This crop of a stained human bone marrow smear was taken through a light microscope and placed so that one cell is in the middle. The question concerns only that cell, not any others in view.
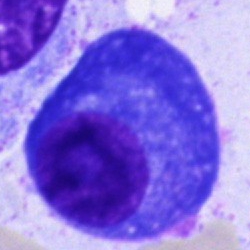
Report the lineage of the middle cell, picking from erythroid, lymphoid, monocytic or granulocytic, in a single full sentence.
For the cell at the center, the lineage is lymphoid.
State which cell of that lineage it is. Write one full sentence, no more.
Here the cell in the middle is a plasma cell.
